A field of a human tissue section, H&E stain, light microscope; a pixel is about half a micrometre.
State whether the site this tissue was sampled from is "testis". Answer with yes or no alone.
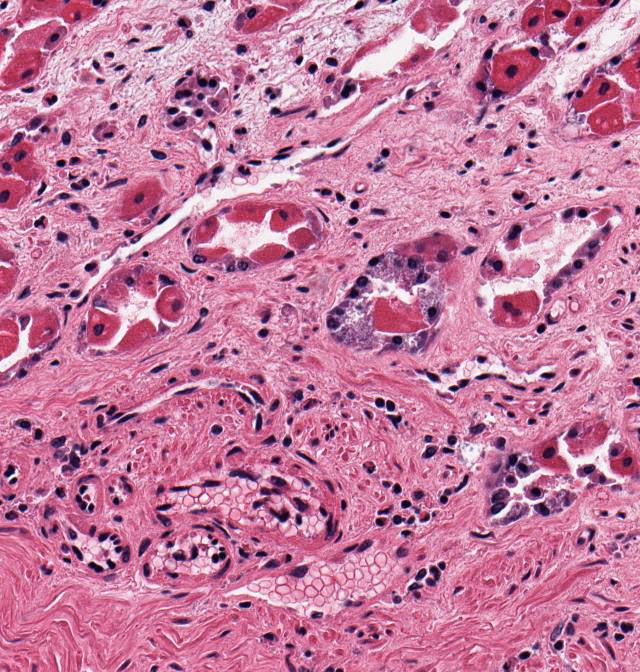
no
